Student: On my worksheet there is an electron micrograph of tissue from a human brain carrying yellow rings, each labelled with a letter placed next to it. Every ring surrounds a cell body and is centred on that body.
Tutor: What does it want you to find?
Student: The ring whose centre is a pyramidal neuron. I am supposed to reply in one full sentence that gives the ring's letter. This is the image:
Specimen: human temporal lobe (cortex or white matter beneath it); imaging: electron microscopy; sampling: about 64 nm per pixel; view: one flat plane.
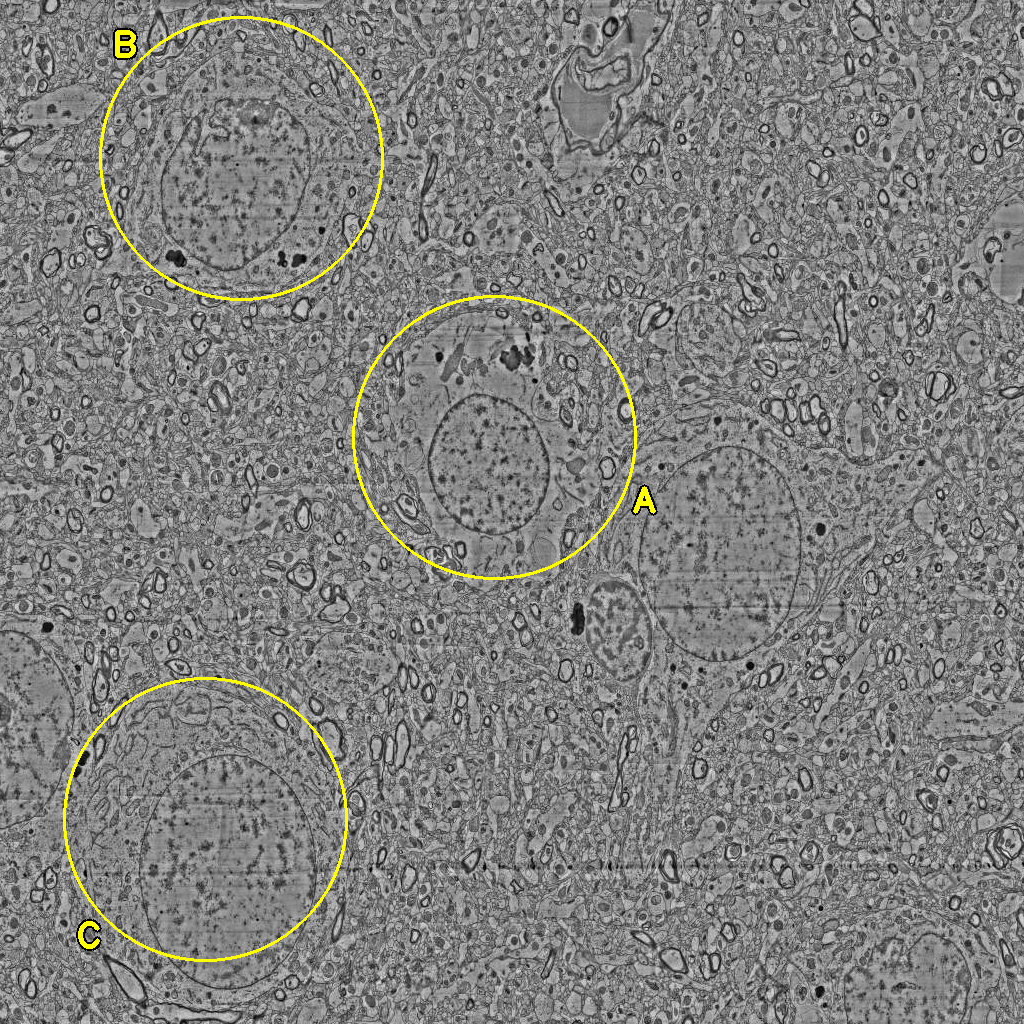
The cell asked for, shown in the picture, lies at the centre of ring C.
